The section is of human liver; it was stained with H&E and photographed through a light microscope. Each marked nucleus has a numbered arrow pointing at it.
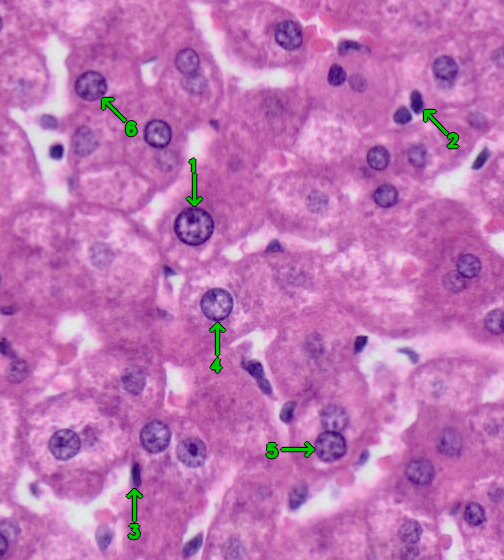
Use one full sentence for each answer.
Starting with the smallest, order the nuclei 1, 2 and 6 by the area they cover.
The order from the smallest nucleus to the largest is 2, 6, 1.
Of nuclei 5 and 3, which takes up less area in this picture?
It is nucleus 3; nucleus 5 has about 3 times its area.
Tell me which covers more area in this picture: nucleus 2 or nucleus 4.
It is nucleus 4, which covers about 3 times the area of nucleus 2.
